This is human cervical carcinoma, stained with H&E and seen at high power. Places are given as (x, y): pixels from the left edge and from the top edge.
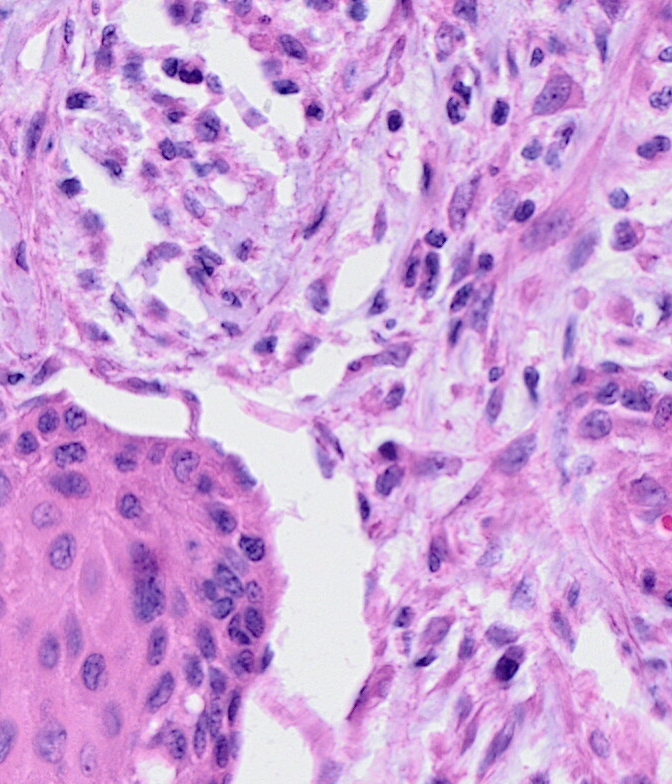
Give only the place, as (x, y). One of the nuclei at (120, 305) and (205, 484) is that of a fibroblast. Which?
(120, 305)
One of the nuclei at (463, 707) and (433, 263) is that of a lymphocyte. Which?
(433, 263)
